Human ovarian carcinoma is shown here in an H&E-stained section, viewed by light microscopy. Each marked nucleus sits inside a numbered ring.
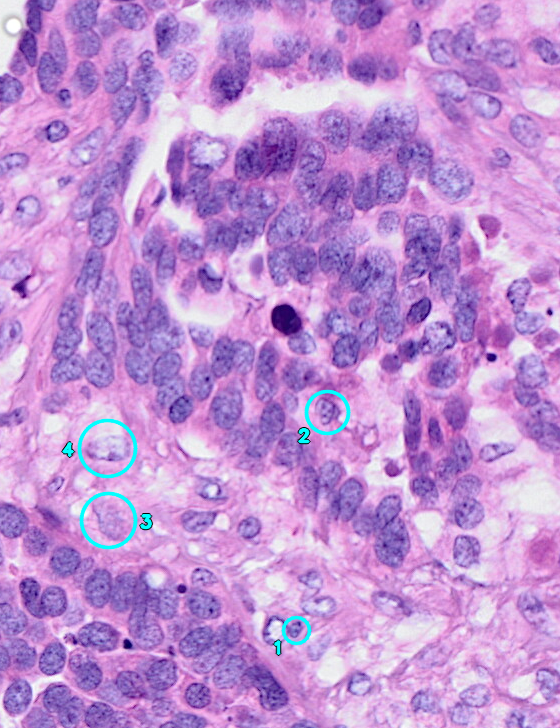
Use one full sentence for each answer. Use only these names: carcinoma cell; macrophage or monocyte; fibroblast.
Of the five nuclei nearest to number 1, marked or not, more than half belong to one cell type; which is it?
Around number 1, most of the five nearest nuclei are those of fibroblasts.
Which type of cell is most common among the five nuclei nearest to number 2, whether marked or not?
Most of the five nuclei nearest to number 2 are those of carcinoma cells.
